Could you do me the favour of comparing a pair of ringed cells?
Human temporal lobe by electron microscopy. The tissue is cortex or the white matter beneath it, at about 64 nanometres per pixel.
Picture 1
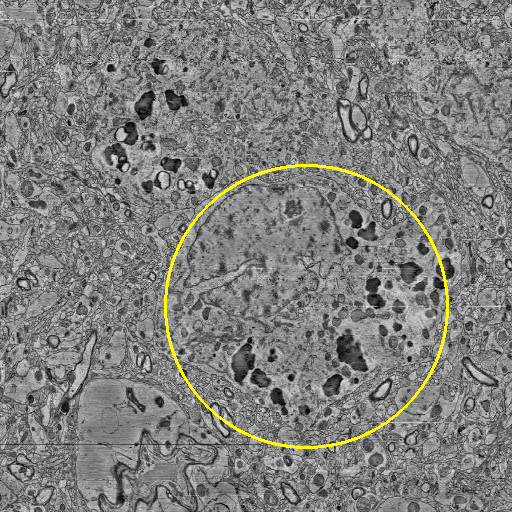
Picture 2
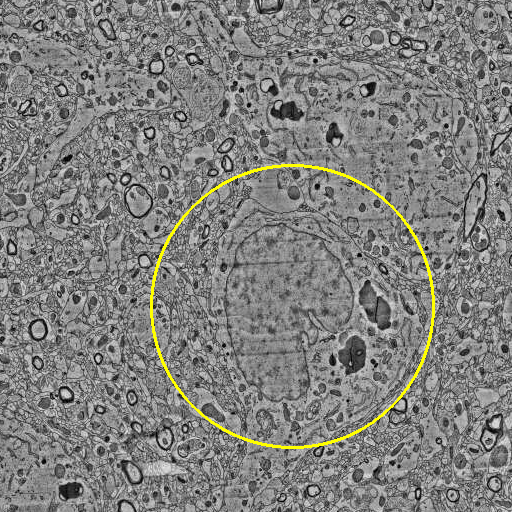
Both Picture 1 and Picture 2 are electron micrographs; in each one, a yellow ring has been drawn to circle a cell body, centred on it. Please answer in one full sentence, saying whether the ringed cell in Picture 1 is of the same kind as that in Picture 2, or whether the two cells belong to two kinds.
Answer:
The ringed cell in Picture 1 is of the same kind as that in Picture 2.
